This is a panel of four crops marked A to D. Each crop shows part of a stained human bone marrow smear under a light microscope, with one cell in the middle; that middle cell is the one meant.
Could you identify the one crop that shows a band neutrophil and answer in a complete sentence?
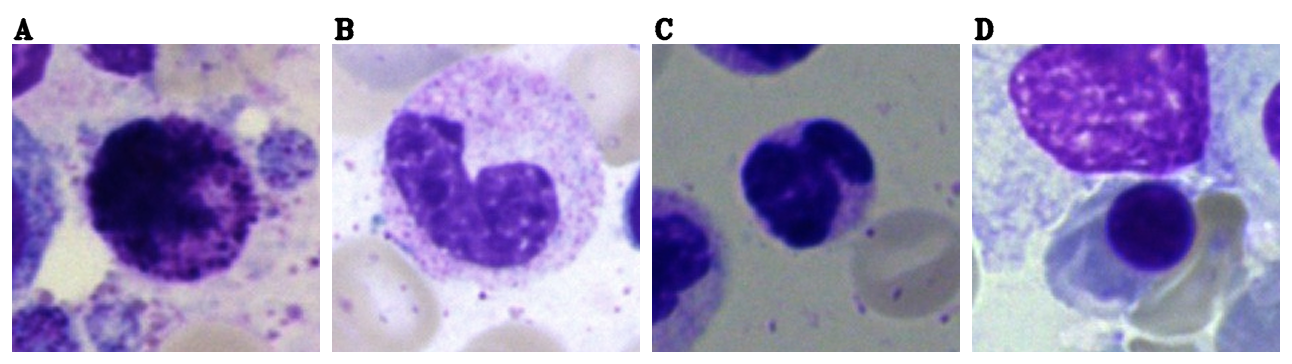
The crop marked B is the one in which a band neutrophil is shown.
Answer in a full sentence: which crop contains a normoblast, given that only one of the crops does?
The cell identified as a normoblast is the one in crop D.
